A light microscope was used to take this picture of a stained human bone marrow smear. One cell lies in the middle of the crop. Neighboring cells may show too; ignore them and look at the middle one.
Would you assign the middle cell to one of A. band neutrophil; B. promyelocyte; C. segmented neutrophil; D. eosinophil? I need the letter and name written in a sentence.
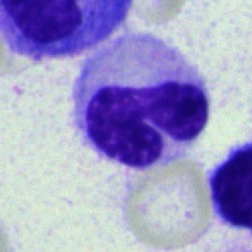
Option A stands as correct, the central cell being a band neutrophil.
